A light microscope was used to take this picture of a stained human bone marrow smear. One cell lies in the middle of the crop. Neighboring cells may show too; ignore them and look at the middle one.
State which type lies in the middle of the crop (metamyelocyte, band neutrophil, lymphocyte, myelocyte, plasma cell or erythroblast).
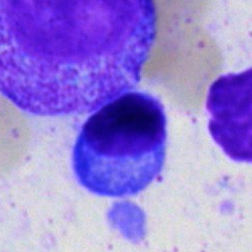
plasma cell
